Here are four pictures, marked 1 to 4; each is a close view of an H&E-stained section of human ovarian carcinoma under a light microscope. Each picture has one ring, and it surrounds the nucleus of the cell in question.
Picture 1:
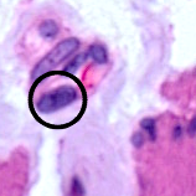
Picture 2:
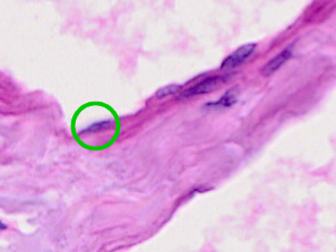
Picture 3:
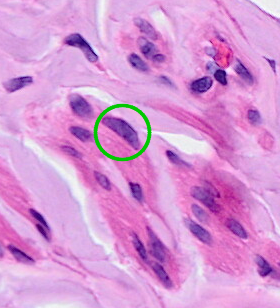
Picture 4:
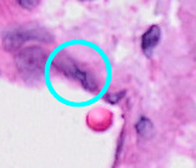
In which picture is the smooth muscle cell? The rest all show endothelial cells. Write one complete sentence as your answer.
The smooth muscle cell is the one in picture 3.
